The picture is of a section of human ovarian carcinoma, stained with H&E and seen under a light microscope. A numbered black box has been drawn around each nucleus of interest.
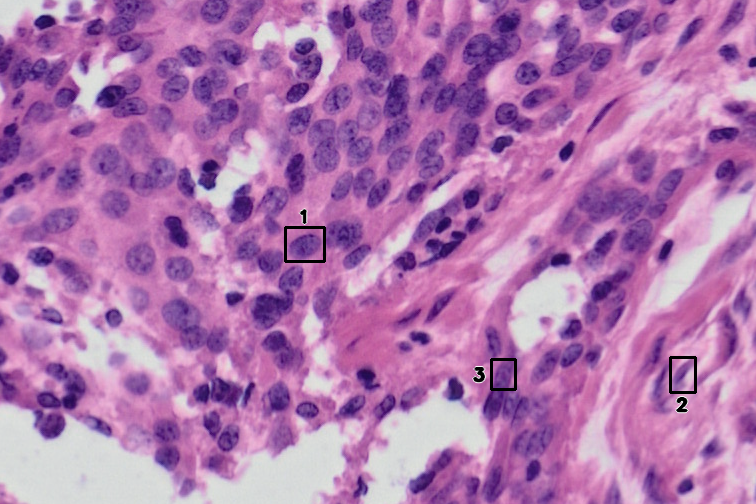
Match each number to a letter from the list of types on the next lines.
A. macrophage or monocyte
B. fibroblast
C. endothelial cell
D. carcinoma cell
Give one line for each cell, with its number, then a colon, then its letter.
1: D
2: B
3: D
